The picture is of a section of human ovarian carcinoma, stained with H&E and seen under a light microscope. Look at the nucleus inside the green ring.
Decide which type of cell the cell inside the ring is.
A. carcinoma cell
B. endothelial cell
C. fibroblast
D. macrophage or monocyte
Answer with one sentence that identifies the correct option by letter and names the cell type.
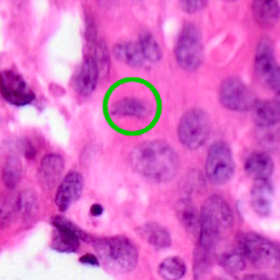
Option B is correct in that the cell inside the ring is an endothelial cell.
